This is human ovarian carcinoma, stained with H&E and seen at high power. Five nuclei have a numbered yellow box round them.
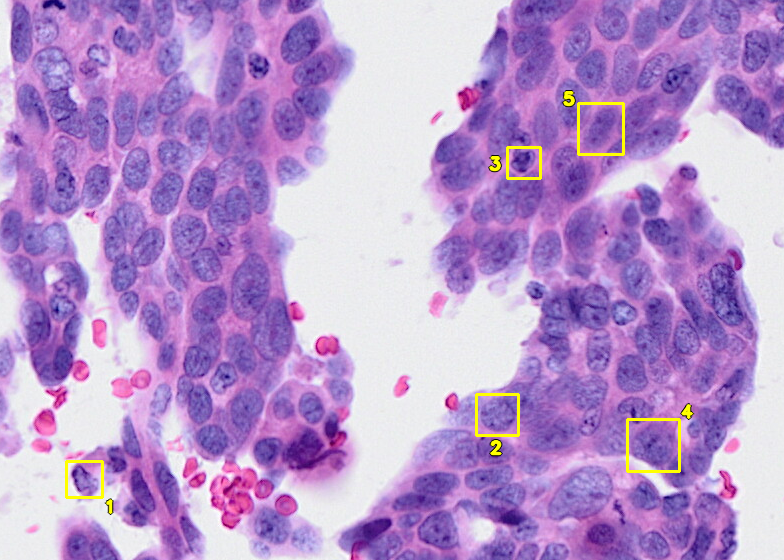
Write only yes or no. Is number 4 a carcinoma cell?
yes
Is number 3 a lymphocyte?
yes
